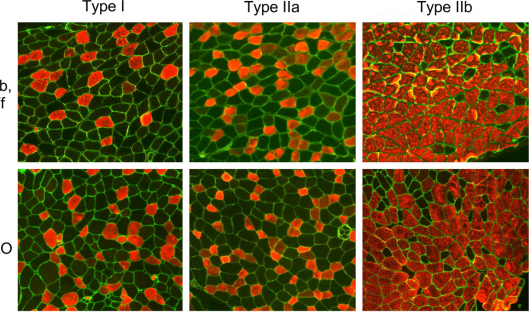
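This is a grid of cross-sections through skeletal muscle. Many closely packed polygonal fibers are each outlined by a thin green border, so the tissue looks like a mosaic of tiles. In the left and middle columns only some fibers are filled with red, and these lie scattered among the unfilled, dark fibers. In the right column most fibers are red, with only a few left dark. Fibers fit against one another with little space between them.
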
